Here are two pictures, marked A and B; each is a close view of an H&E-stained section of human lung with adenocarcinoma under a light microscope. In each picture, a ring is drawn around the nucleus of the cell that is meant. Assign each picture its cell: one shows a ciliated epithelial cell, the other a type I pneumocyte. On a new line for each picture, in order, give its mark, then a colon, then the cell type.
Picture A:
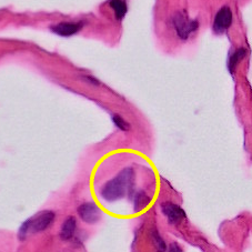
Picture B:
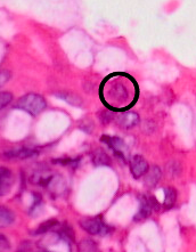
A: type I pneumocyte
B: ciliated epithelial cell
